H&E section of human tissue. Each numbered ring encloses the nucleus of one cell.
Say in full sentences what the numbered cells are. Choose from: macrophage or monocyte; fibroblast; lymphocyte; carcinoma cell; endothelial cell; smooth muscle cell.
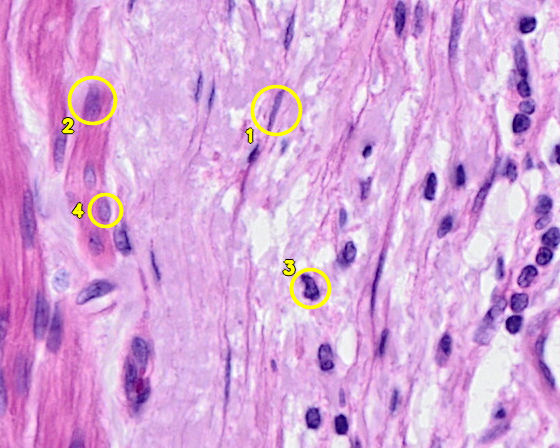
Cell 1 is a fibroblast, cell 2 is a smooth muscle cell, cell 3 is a lymphocyte and cell 4 is a smooth muscle cell.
